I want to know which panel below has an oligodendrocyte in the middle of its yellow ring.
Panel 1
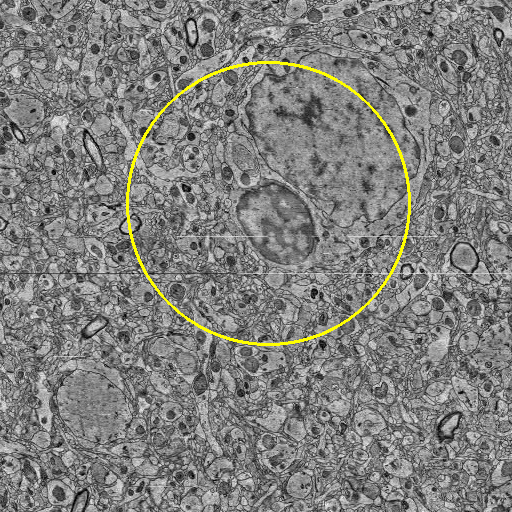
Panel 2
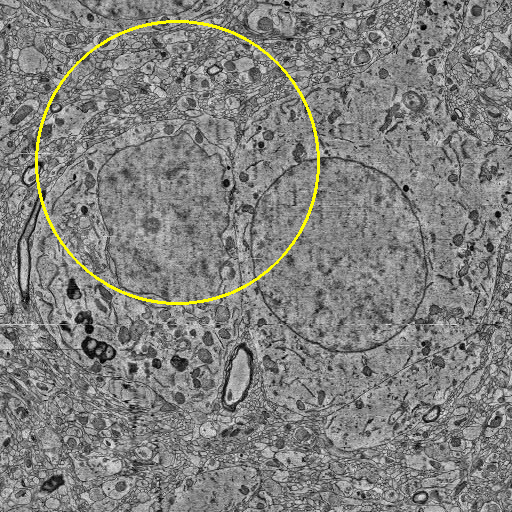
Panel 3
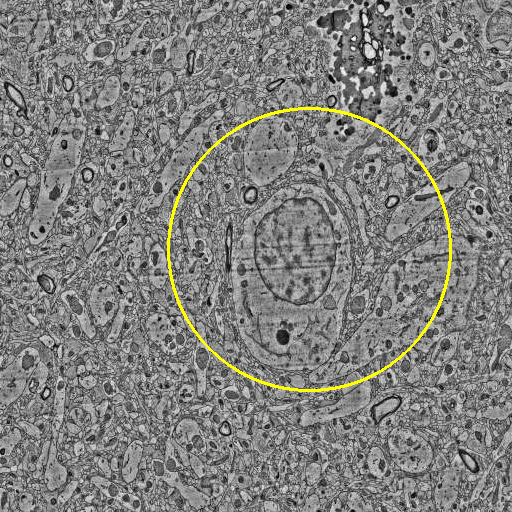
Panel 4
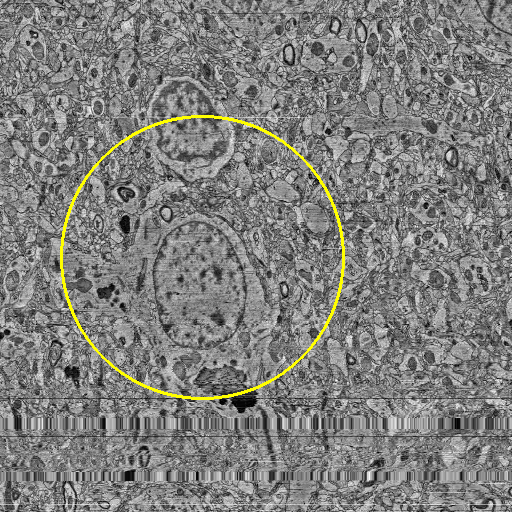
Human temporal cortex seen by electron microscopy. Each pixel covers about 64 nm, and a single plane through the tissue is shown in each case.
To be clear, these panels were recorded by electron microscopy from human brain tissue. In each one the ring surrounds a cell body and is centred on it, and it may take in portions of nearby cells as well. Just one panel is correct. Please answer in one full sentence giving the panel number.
Panel 1 has the requested cell sitting at the centre of its ring.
